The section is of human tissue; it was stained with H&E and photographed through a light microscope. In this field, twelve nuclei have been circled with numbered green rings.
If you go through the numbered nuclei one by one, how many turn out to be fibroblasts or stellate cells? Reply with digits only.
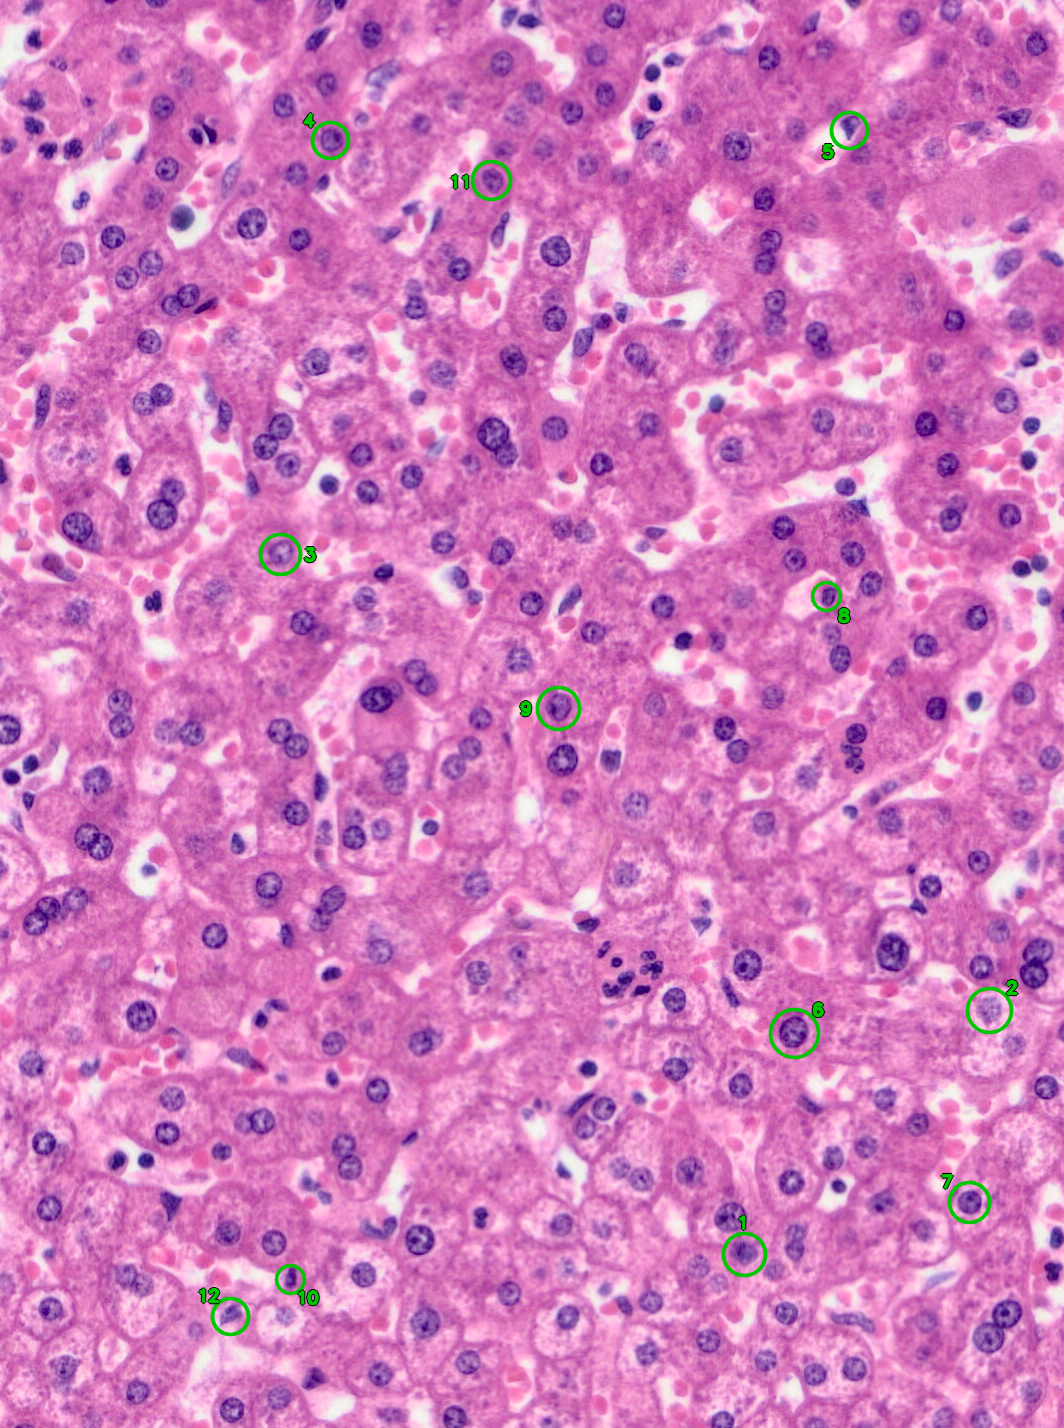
3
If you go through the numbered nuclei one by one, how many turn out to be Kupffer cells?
1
